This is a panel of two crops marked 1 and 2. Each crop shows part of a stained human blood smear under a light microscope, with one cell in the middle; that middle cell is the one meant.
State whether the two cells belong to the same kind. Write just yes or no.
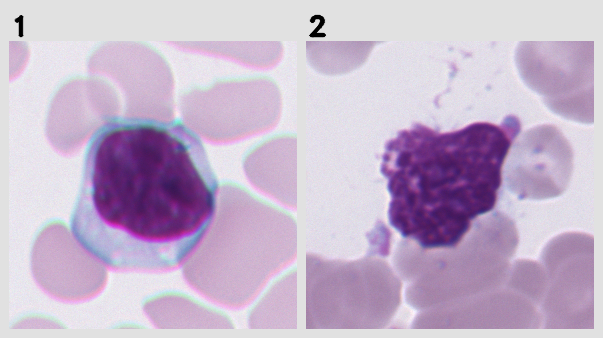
no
